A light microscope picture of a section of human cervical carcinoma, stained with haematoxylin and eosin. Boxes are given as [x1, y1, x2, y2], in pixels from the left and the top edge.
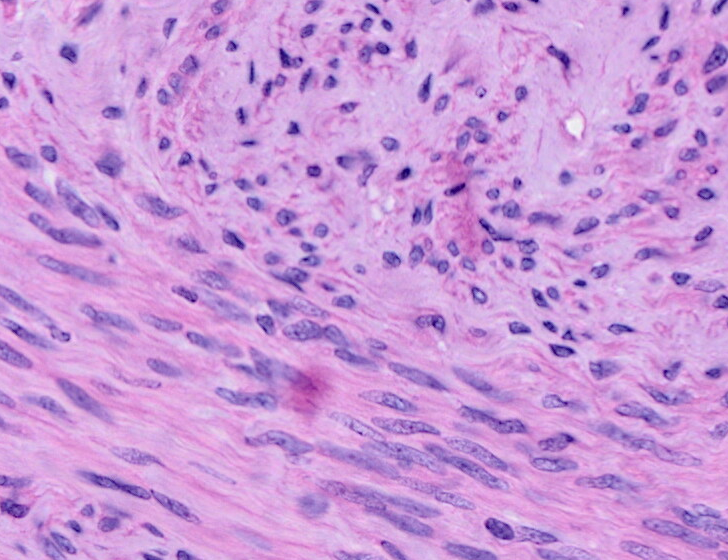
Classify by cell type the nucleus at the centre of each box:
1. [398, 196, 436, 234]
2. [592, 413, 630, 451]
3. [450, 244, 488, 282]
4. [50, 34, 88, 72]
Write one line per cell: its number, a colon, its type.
1: smooth muscle cell
2: smooth muscle cell
3: smooth muscle cell
4: fibroblast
